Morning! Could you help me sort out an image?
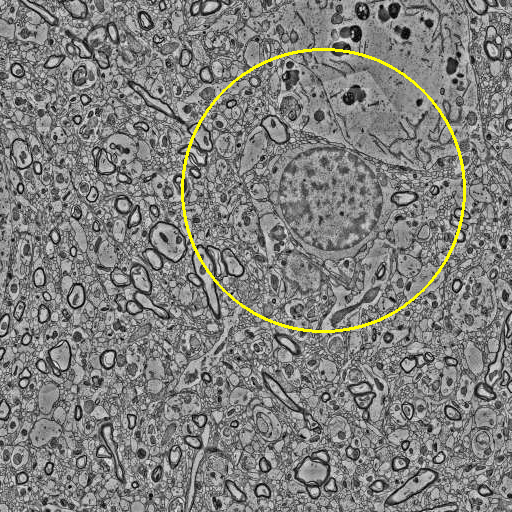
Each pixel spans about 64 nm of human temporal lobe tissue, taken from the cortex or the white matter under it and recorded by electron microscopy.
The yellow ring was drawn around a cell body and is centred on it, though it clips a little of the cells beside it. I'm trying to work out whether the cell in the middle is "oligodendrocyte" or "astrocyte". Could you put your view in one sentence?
The ringed cell body is that of an oligodendrocyte.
